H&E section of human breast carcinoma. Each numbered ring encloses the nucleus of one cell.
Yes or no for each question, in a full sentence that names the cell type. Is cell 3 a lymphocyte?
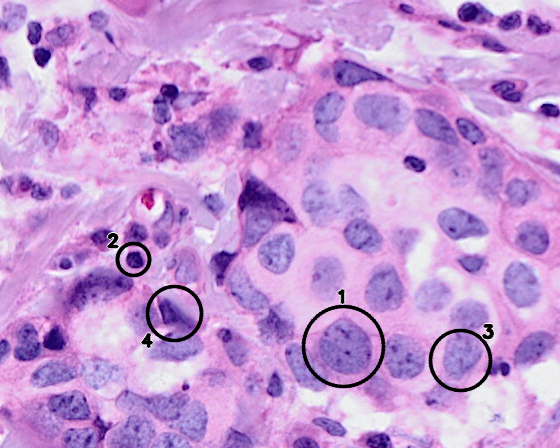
No, cell 3 should be read as a carcinoma cell instead of a lymphocyte.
